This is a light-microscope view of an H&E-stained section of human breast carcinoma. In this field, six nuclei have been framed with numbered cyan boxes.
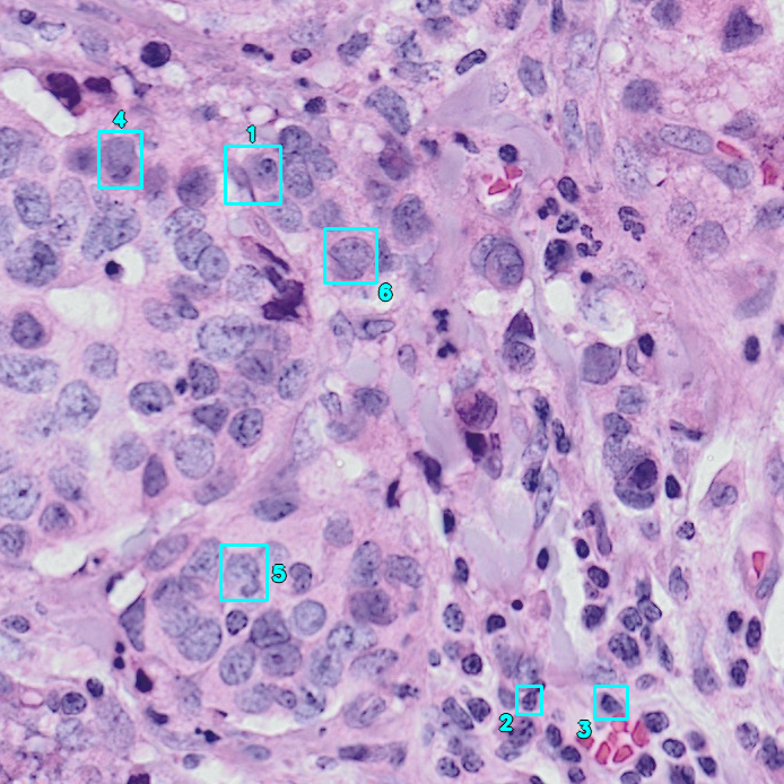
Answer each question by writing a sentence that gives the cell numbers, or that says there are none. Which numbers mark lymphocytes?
Within the section, cells numbered 2 and 3 are lymphocytes.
